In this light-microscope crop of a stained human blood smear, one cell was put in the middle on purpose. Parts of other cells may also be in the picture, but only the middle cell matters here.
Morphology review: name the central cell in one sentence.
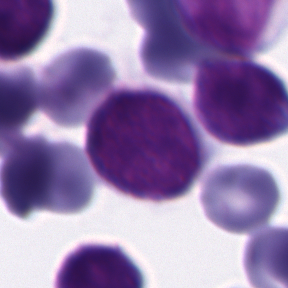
The cell around which this crop is centred is a myeloblast.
